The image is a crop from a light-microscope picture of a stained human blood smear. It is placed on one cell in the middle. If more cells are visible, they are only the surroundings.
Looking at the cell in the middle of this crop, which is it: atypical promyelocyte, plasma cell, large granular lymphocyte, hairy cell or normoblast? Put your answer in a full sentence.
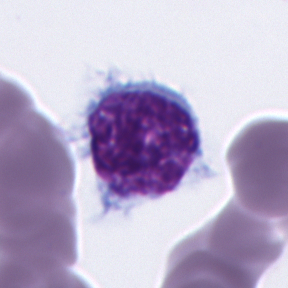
The cell marked by its central position in the crop is a hairy cell.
